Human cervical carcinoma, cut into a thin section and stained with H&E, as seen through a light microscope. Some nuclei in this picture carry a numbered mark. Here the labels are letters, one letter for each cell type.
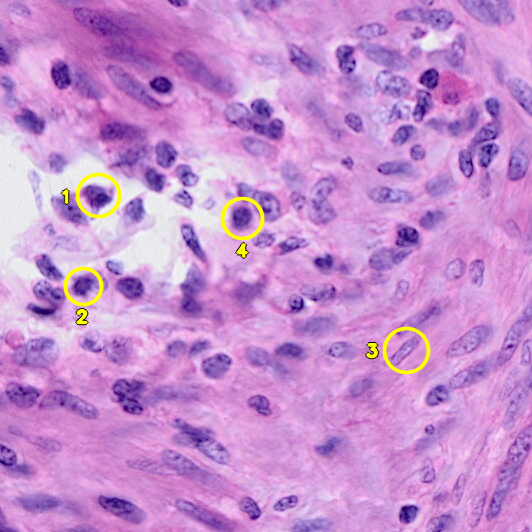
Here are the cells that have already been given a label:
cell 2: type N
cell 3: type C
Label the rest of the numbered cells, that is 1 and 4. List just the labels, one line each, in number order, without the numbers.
type N
type N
